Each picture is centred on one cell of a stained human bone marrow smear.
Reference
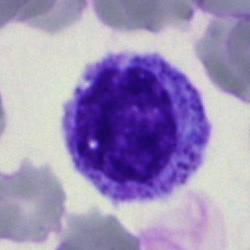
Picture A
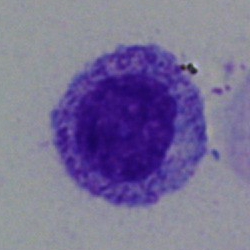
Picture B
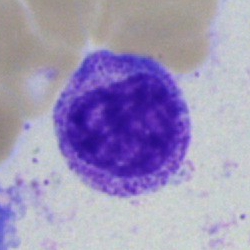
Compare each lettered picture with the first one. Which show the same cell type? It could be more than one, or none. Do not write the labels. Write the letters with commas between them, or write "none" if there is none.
A, B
